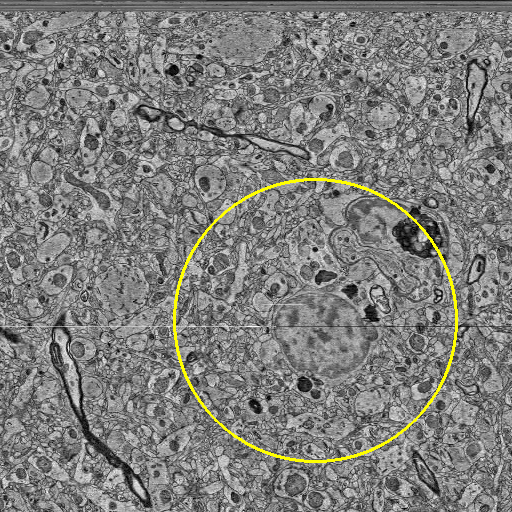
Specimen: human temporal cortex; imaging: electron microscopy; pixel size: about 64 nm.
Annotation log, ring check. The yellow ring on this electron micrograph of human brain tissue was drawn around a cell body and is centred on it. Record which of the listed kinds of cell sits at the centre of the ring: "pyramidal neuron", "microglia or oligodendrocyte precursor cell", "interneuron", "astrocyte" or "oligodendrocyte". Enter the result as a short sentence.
The cell at the centre of the ring is an oligodendrocyte.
